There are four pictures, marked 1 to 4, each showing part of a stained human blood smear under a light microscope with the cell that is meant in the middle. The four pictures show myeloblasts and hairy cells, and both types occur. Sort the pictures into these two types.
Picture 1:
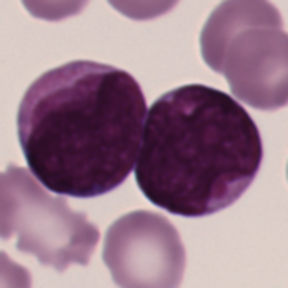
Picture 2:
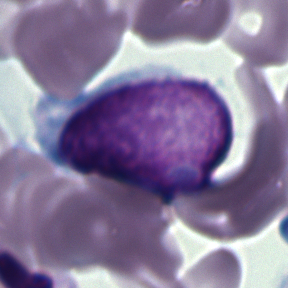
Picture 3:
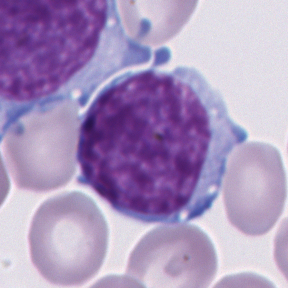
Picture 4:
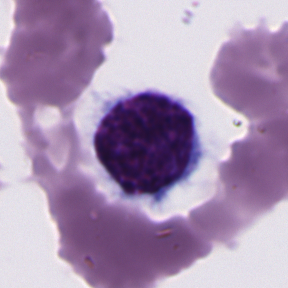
1: myeloblast
2: myeloblast
3: myeloblast
4: hairy cell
